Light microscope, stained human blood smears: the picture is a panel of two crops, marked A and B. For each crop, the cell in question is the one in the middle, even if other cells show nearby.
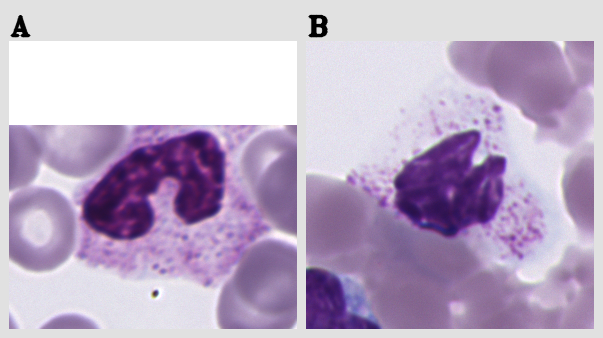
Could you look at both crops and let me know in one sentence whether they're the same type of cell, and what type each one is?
Yes, both crops show segmented neutrophils as the central cells.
